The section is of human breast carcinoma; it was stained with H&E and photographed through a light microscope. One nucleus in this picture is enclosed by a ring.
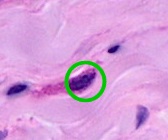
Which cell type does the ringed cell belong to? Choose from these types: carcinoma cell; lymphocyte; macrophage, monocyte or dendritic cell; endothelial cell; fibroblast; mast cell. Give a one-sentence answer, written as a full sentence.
In the tissue at hand, the ringed cell is a mast cell.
